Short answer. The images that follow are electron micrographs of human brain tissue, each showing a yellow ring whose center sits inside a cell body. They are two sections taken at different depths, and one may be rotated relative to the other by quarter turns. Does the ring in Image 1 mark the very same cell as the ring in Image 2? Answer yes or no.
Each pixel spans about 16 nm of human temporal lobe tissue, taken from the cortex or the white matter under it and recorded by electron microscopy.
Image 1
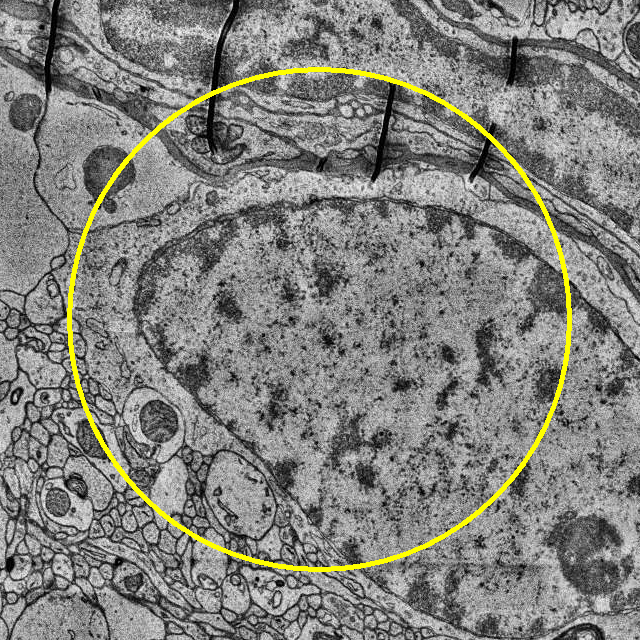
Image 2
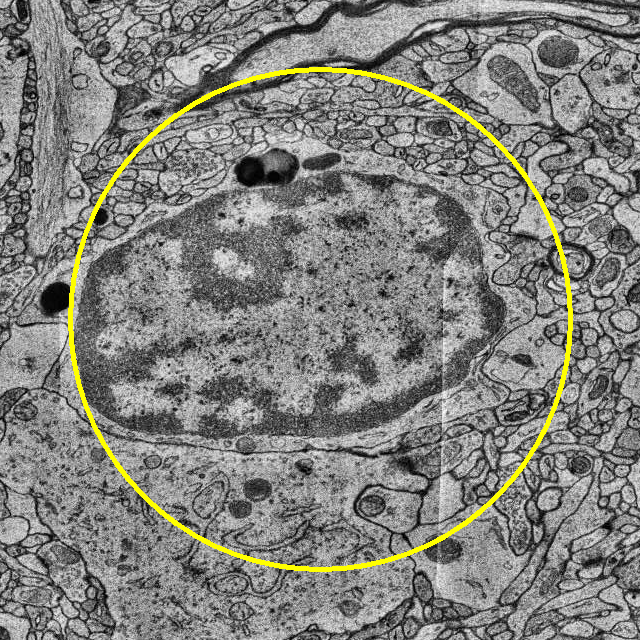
no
